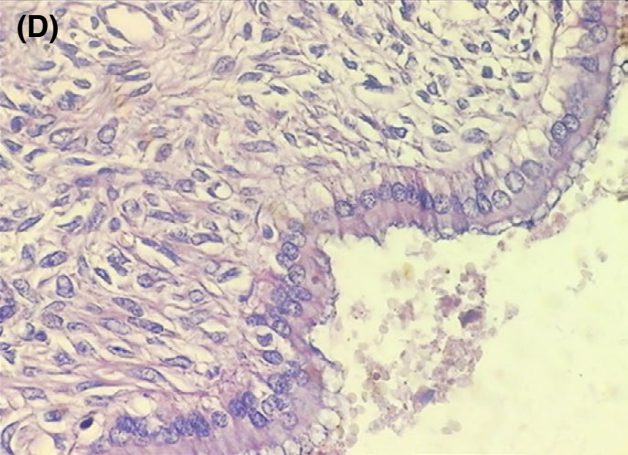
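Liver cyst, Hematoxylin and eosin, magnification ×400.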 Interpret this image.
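The lining is a single row of tall cells with oval, basally placed purple nuclei and pale pink apical cytoplasm facing an open lumen. A few loose cells and pale debris lie free in the lumen beside the lining.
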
